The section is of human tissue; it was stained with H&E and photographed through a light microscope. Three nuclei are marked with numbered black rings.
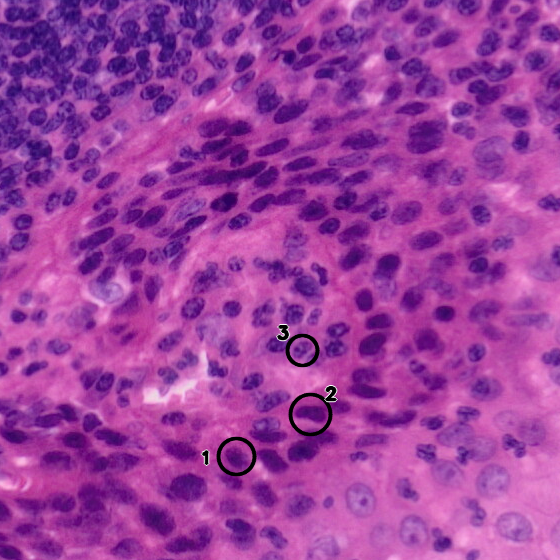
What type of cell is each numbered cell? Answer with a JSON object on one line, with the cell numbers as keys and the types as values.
{"1": "squamous epithelial cell", "2": "squamous epithelial cell", "3": "plasma cell"}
